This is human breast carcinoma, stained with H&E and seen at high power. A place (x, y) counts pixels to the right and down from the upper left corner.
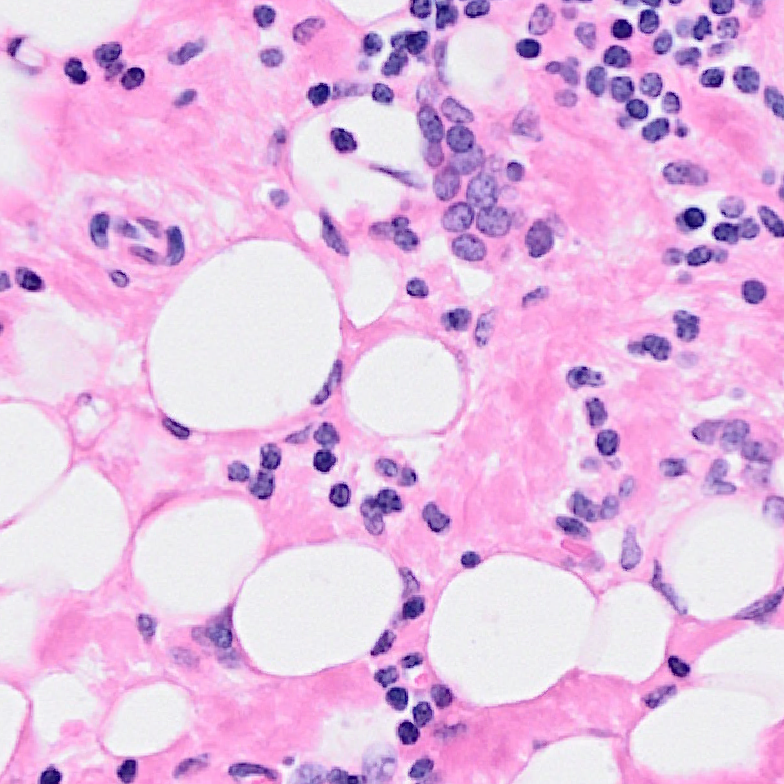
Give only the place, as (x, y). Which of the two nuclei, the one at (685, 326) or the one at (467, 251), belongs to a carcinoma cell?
(467, 251)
